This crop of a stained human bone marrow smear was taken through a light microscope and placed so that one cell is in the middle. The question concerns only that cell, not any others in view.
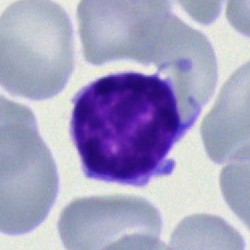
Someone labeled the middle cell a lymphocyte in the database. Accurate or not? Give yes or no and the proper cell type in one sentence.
Yes, shown in the middle of the crop is a lymphocyte.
